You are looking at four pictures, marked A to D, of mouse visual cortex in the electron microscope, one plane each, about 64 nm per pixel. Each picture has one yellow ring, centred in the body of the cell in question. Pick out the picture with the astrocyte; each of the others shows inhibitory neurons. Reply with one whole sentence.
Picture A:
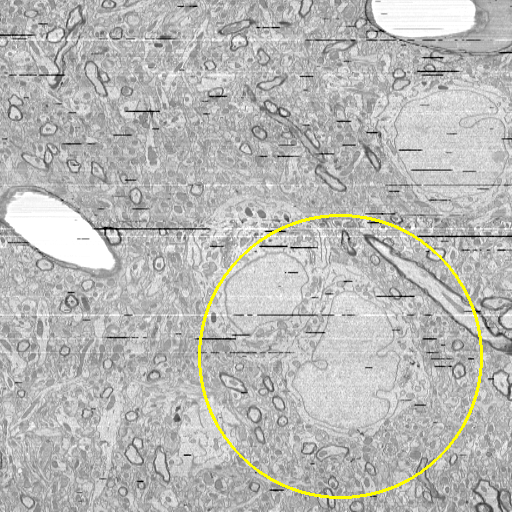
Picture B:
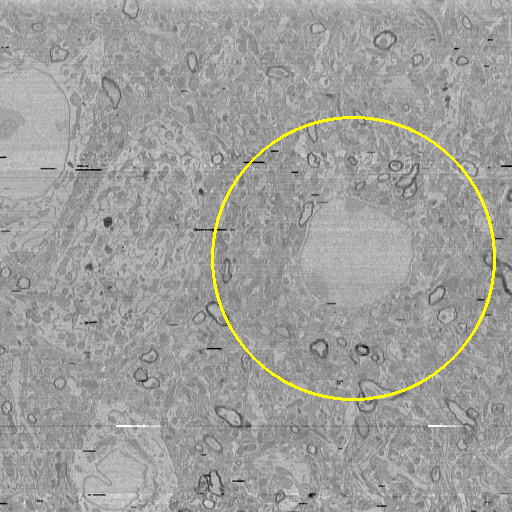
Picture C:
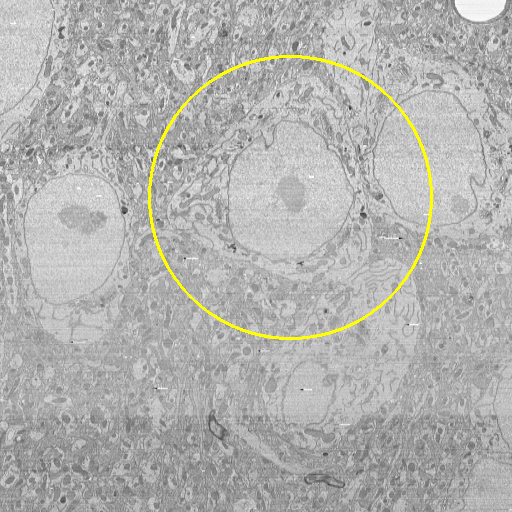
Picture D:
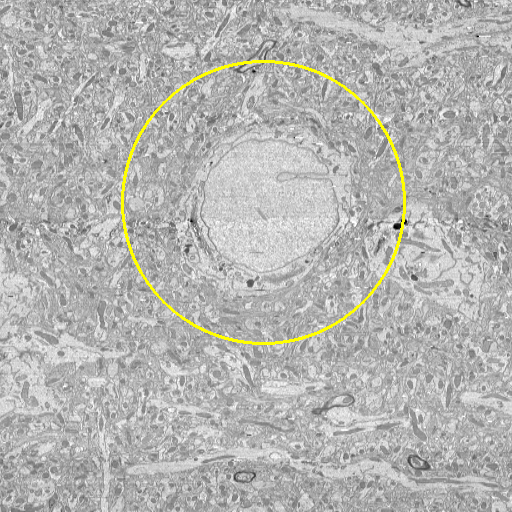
Picture B shows the astrocyte.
